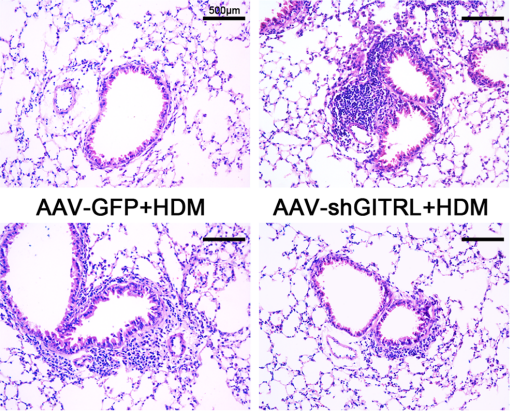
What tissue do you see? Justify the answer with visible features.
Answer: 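Lung. Thin-walled alveolar spaces fill the background of each image. Each image has a rounded airway lined by a pink epithelium.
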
